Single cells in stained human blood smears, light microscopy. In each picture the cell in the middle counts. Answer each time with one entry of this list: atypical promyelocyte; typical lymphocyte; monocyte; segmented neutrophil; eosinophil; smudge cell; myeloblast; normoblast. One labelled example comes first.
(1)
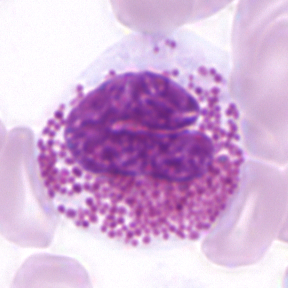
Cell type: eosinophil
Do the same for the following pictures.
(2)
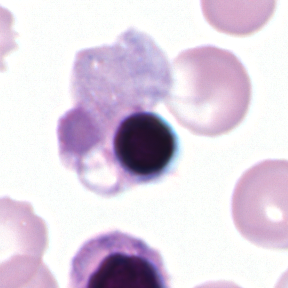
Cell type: normoblast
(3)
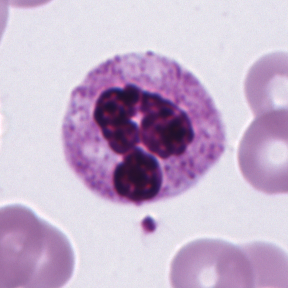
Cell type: segmented neutrophil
